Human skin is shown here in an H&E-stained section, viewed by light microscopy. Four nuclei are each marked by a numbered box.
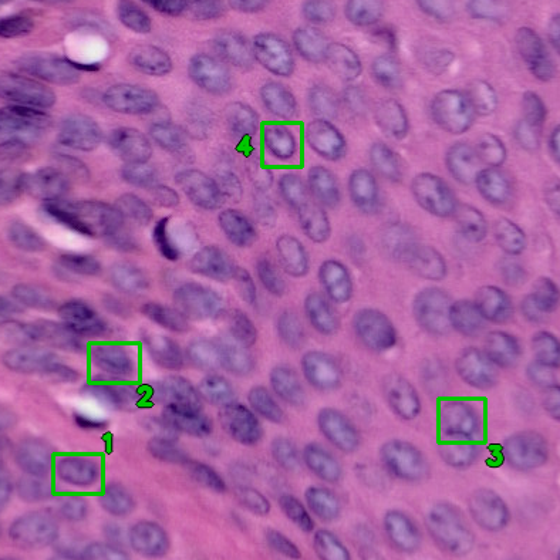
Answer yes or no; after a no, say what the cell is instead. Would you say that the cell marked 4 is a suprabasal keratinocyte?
Yes.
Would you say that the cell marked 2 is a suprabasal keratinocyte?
No, it is a basal keratinocyte.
